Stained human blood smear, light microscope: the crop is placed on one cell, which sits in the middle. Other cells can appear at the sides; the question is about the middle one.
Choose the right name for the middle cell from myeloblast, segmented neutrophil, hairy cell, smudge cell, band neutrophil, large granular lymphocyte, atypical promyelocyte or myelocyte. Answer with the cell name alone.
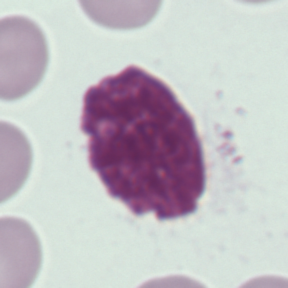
smudge cell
